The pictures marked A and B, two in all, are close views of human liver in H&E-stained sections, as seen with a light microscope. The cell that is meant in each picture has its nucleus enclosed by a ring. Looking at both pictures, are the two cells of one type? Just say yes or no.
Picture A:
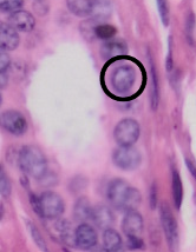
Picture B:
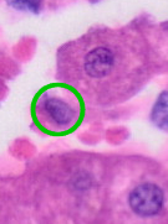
no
